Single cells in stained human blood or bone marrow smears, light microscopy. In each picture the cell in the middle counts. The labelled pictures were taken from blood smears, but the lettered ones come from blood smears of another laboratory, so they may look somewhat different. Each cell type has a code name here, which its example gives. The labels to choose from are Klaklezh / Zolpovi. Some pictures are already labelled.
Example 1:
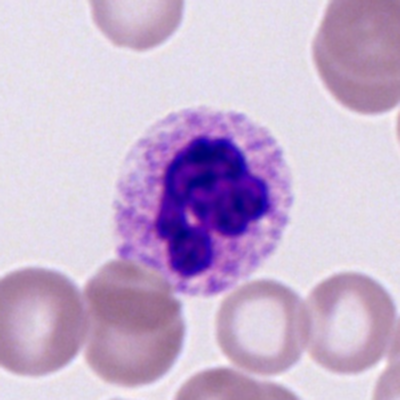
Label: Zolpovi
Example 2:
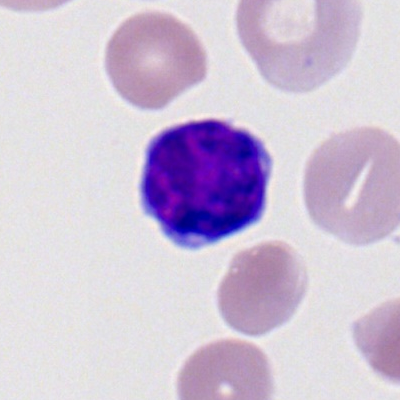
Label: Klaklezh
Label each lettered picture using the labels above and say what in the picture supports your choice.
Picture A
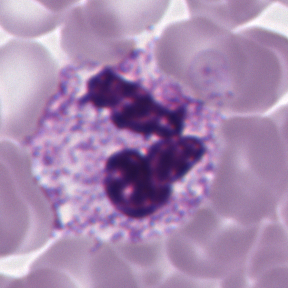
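Zolpovi. The nucleus is divided into several separate lobes.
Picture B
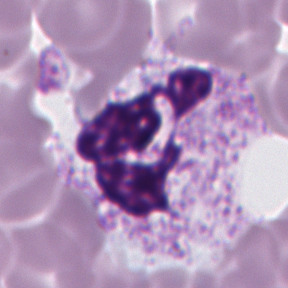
Zolpovi. The cytoplasm is plentiful and very pale, almost colourless.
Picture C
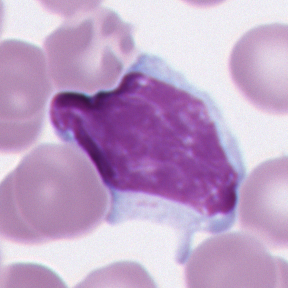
Klaklezh. The cytoplasm is scant and forms its widest band below the nucleus.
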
